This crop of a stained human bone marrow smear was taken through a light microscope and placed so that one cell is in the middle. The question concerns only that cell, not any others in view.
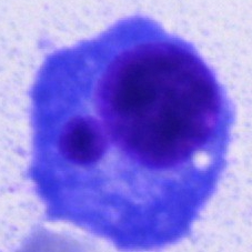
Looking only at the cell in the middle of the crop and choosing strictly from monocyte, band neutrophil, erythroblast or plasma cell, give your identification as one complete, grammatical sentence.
Classified as a plasma cell is the cell in the middle of this crop.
